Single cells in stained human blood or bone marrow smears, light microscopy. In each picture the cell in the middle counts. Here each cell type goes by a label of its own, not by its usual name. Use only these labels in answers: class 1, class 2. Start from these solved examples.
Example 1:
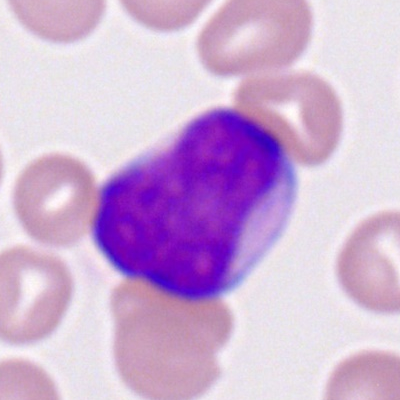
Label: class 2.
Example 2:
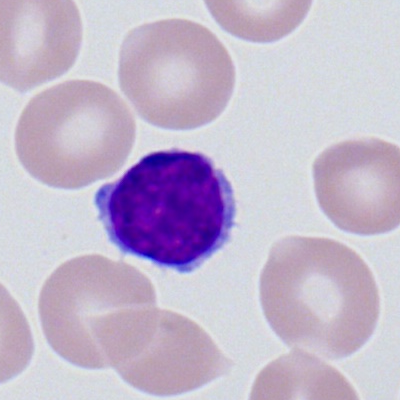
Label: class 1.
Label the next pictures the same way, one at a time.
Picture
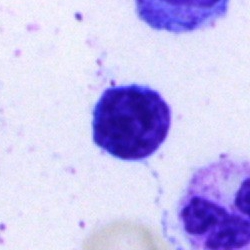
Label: class 1.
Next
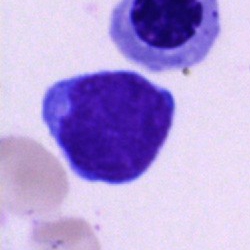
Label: class 1.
